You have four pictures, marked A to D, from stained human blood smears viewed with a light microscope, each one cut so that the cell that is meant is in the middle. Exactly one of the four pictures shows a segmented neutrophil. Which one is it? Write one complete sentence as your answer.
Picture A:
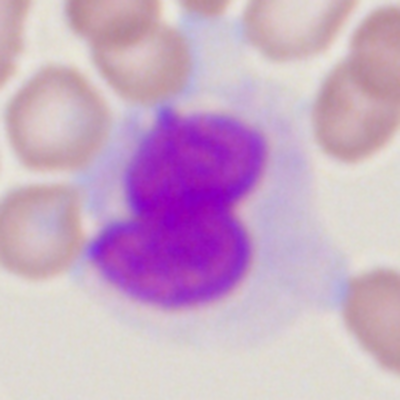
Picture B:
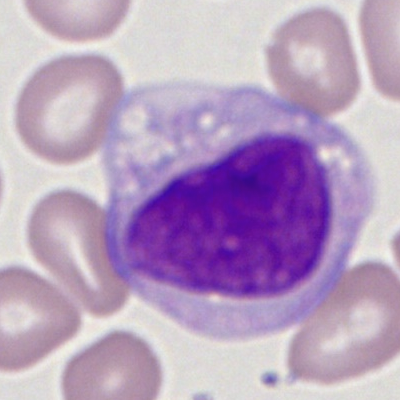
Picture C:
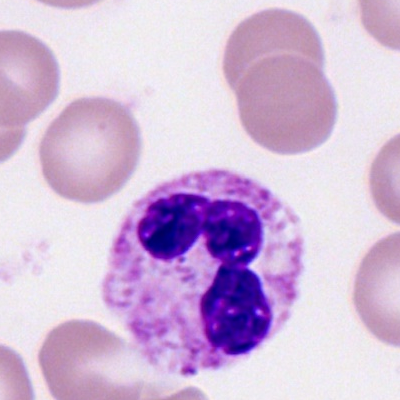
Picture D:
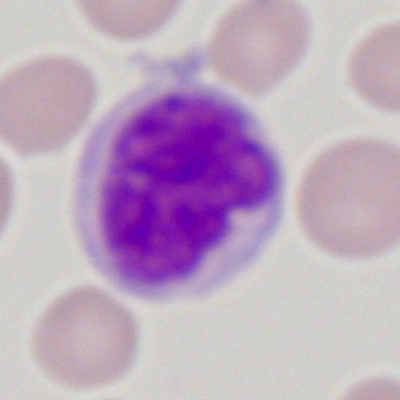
The cell in picture C is the segmented neutrophil.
